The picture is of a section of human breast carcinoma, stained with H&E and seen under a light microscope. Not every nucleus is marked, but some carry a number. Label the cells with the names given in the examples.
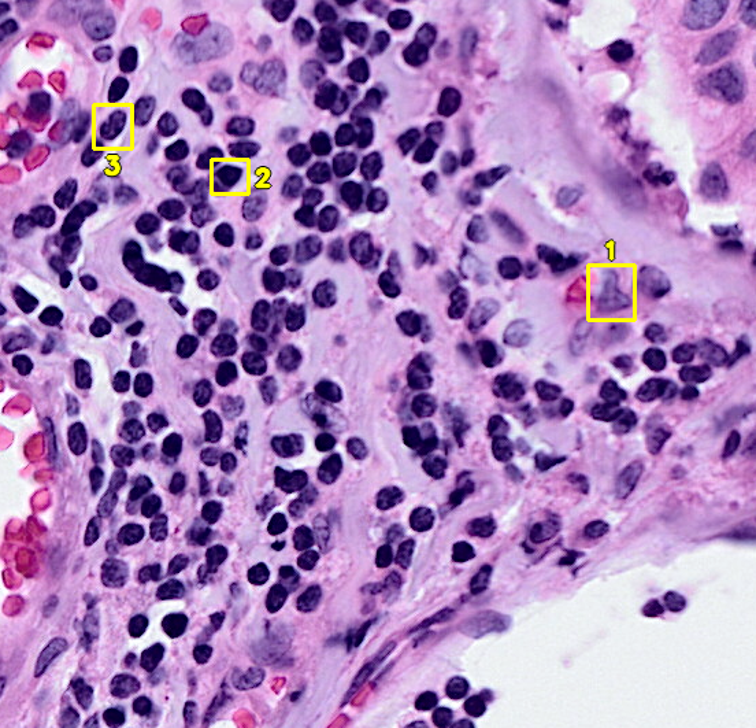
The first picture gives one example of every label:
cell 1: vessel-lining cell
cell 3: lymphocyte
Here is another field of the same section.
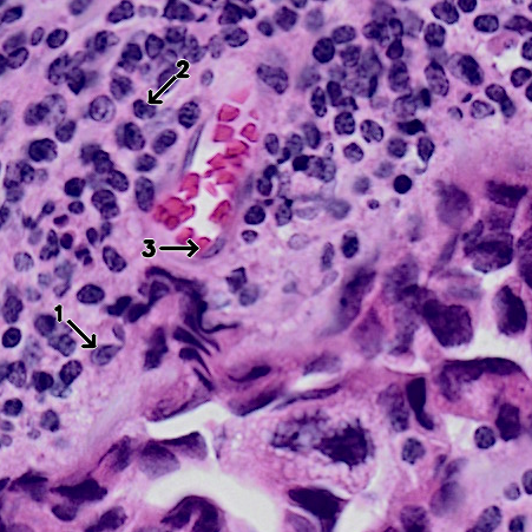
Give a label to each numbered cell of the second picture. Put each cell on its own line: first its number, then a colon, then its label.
1: lymphocyte
2: lymphocyte
3: vessel-lining cell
